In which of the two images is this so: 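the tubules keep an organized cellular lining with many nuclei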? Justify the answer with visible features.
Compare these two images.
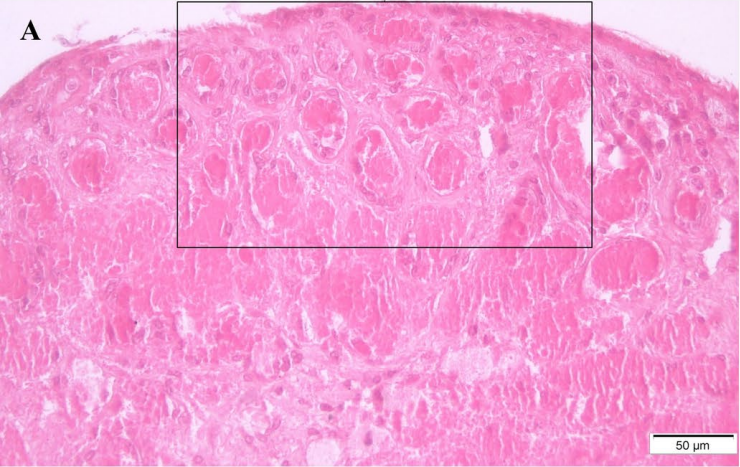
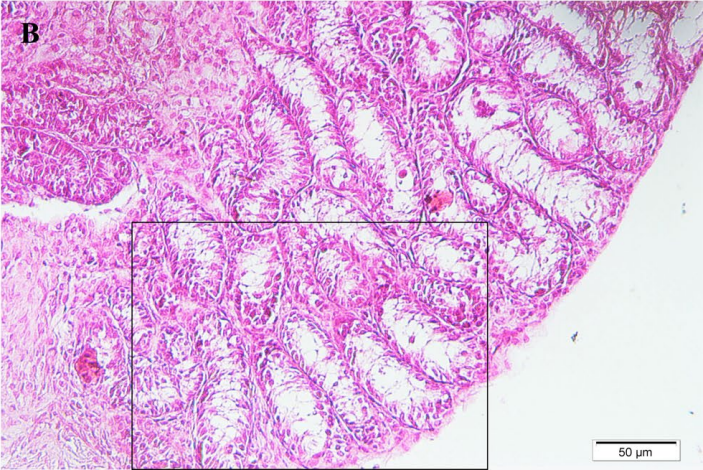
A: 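The second image. Second image: closely packed tubules are lined by cells with many purple nuclei around pale lumina.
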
